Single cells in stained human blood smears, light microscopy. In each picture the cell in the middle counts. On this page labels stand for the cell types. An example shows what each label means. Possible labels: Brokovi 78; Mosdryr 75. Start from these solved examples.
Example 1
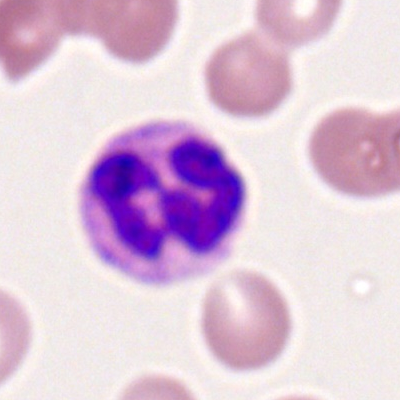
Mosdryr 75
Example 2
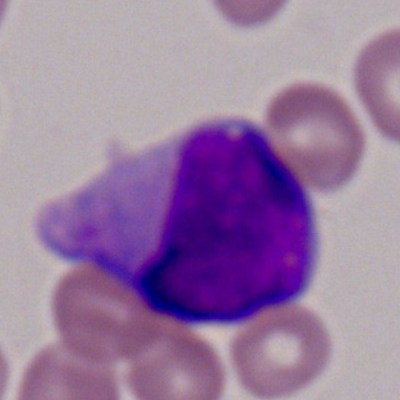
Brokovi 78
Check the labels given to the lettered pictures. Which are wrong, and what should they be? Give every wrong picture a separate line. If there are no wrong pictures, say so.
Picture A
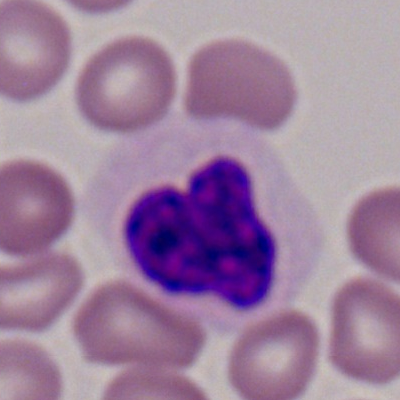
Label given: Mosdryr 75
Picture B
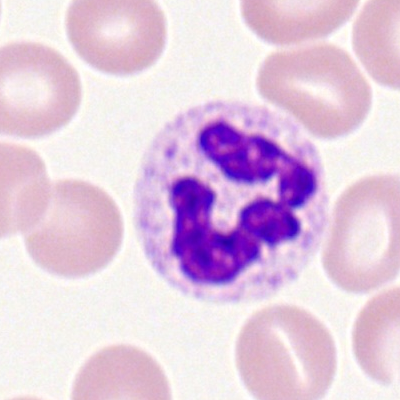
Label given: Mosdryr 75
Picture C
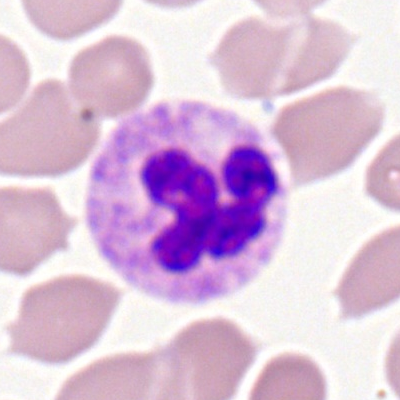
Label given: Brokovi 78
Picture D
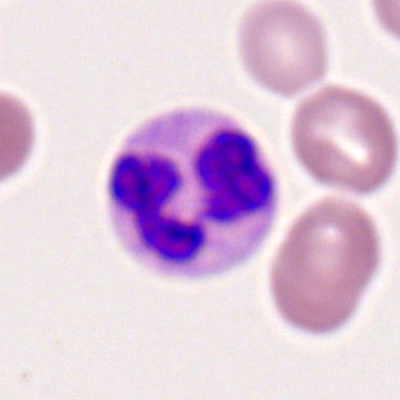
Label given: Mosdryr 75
C: not Brokovi 78 but Mosdryr 75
